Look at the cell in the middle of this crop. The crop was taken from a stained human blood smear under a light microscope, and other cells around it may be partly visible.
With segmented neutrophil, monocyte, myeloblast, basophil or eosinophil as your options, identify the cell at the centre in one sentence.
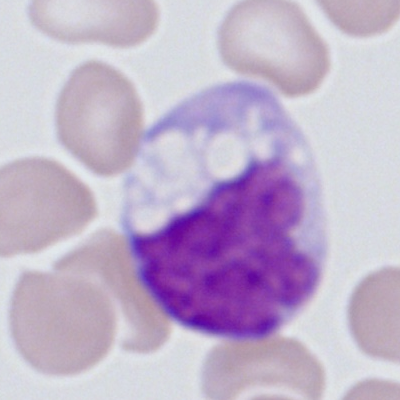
On this slide crop, the central cell is a monocyte.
